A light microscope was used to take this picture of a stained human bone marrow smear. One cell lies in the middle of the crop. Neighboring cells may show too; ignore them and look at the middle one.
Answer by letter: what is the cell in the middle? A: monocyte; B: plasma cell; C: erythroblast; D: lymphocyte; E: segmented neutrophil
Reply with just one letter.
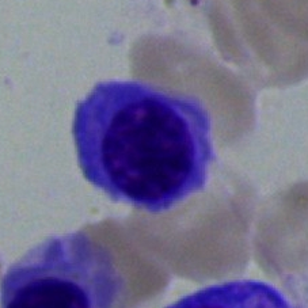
C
